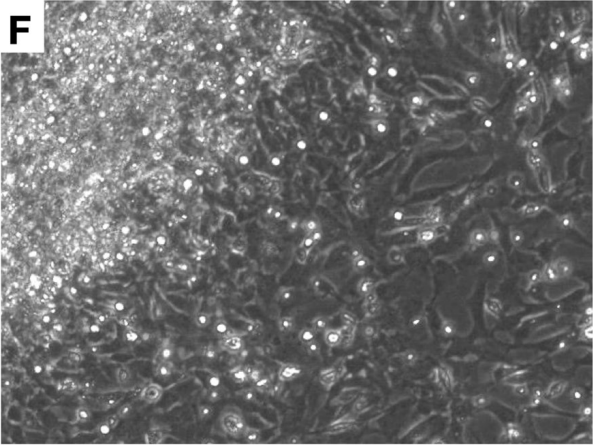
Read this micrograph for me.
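The clump is a bright, granular, densely packed mass in which single cells cannot be made out, and it contrasts with the flat layer around it. Elsewhere, flattened, elongated or spindle-shaped cells with thin processes spread over the surface in a single layer. Small, round, bright refractile bodies are scattered on top of these flat cells.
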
